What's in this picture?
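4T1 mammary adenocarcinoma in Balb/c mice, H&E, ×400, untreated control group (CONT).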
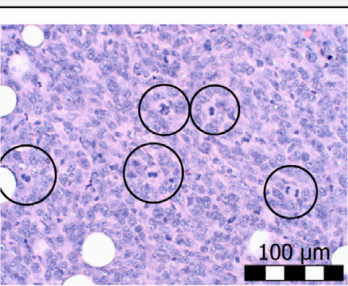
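Several mitotic figures with dark condensed chromatin are circled. Round empty fat spaces lie at the left margin and at the top.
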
